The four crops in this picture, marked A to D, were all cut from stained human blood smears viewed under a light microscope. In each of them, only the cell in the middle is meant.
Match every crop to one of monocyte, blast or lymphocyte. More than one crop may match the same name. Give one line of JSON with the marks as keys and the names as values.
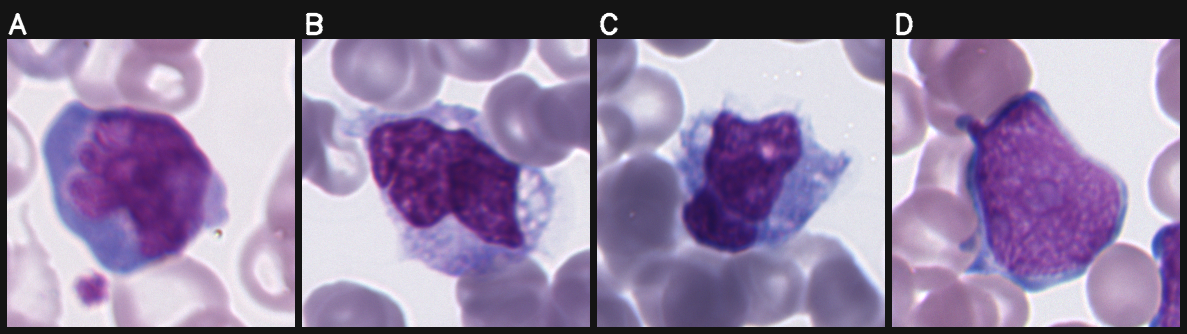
{"A": "blast", "B": "monocyte", "C": "monocyte", "D": "blast"}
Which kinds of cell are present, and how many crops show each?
blast: 2
monocyte: 2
